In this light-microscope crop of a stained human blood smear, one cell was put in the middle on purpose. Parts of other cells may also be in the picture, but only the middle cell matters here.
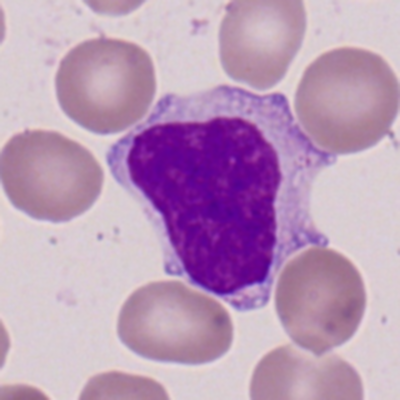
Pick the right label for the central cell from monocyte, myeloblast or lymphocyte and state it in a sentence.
The middle of this crop is occupied by a lymphocyte.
